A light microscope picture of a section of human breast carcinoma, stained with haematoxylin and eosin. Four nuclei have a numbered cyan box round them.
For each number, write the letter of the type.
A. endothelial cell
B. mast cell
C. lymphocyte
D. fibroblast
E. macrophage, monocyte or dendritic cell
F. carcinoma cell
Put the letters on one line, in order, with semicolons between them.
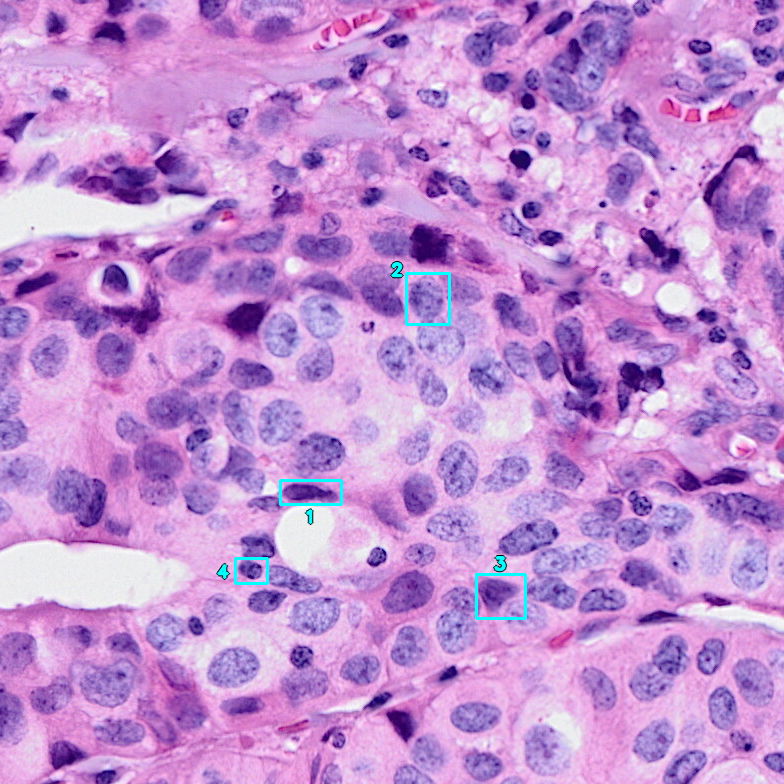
F; F; F; C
